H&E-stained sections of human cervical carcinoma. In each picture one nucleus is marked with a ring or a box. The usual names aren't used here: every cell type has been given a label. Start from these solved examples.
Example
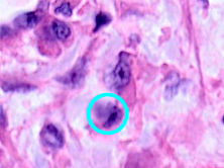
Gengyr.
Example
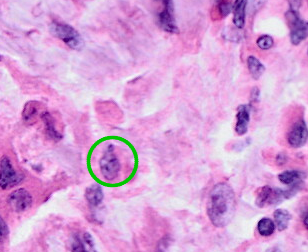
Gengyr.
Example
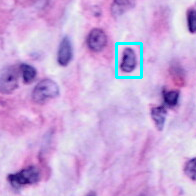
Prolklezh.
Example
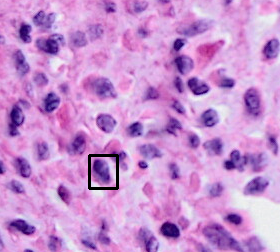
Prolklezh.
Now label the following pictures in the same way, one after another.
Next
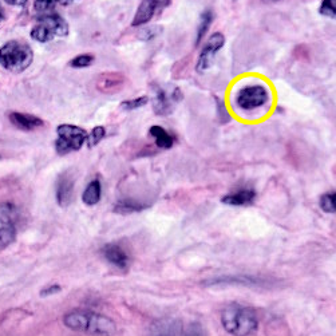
Prolklezh.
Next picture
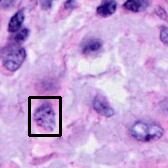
Gengyr.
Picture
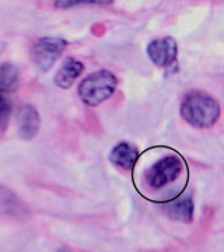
Prolklezh.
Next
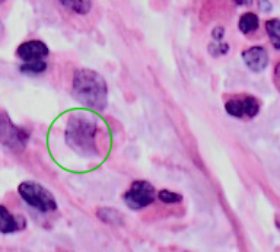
Gengyr.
